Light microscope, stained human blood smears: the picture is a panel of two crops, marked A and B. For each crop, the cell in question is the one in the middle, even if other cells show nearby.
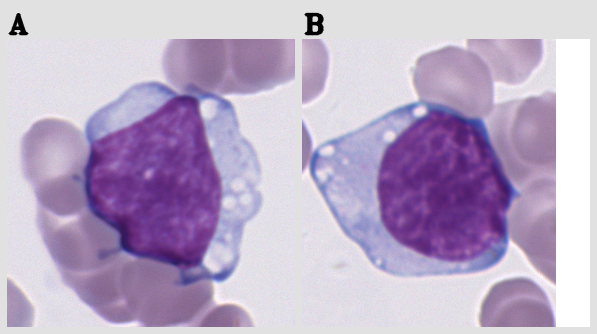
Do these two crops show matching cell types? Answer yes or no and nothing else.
yes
